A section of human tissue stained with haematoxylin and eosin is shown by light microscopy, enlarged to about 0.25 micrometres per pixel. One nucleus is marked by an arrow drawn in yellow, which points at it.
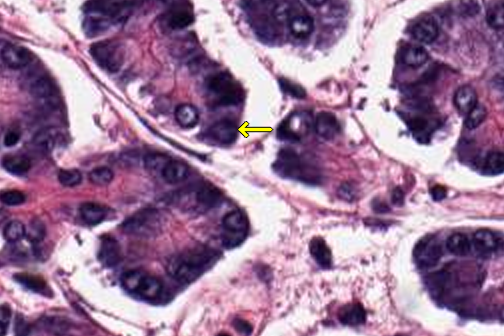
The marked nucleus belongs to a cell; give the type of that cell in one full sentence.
The cell whose nucleus is marked is a pancreatic acinar cell.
